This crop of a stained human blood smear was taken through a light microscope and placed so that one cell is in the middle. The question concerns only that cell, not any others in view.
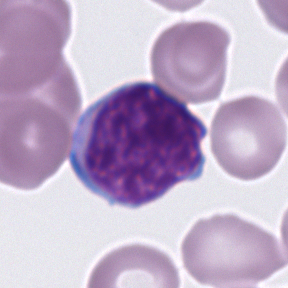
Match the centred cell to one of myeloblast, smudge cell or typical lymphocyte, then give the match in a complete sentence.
In the middle of this smear crop is a typical lymphocyte.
